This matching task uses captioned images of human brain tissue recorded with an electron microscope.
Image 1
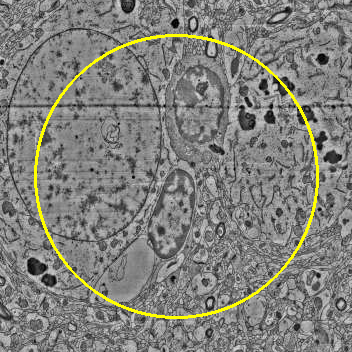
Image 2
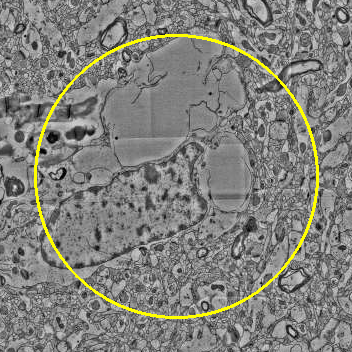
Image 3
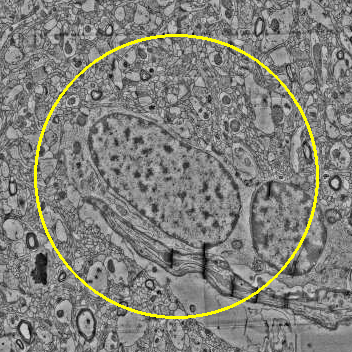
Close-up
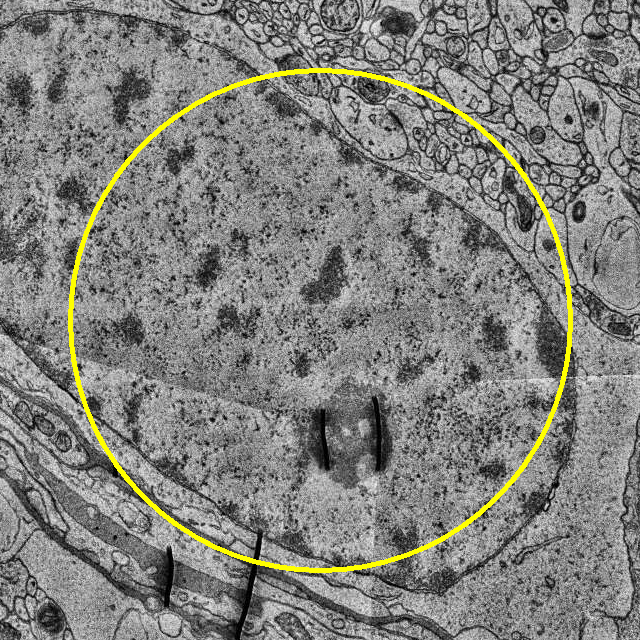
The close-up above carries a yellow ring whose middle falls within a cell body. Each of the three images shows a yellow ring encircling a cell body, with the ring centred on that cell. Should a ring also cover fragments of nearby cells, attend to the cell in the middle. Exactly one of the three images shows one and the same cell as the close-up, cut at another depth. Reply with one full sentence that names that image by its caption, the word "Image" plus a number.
The close-up cell is the one indicated by the ring in Image 3.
